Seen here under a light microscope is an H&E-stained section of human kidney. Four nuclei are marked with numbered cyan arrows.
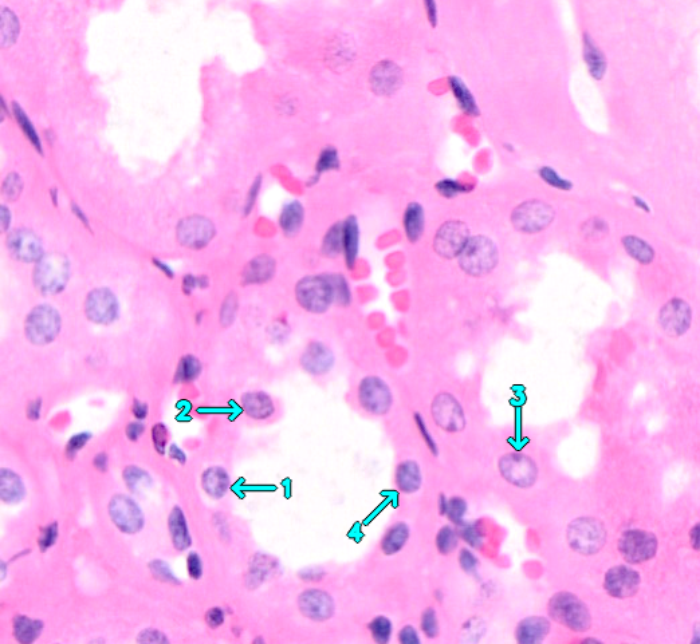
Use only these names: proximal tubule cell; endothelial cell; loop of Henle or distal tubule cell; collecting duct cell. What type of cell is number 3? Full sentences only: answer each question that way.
The cell numbered 3 has been identified as a proximal tubule cell.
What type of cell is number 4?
Cell 4 is classified as a loop of Henle or distal tubule cell.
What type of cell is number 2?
The cell marked with number 2 is a loop of Henle or distal tubule cell.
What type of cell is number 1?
The nucleus with number 1 is that of a loop of Henle or distal tubule cell.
